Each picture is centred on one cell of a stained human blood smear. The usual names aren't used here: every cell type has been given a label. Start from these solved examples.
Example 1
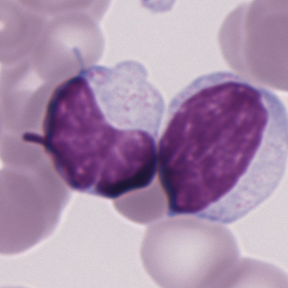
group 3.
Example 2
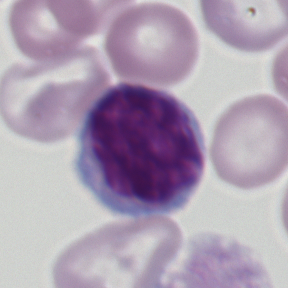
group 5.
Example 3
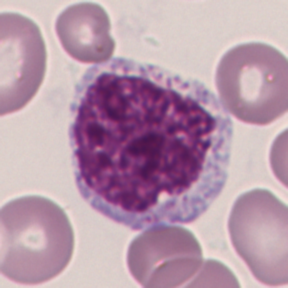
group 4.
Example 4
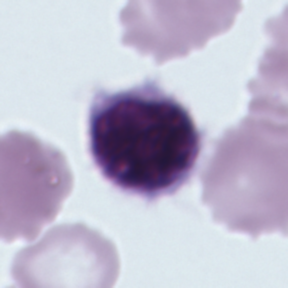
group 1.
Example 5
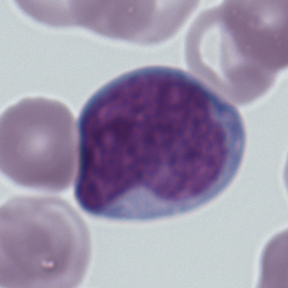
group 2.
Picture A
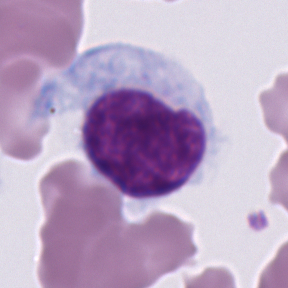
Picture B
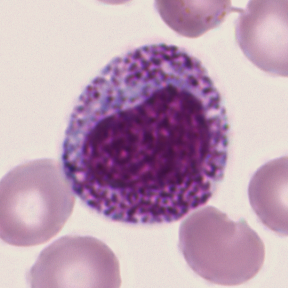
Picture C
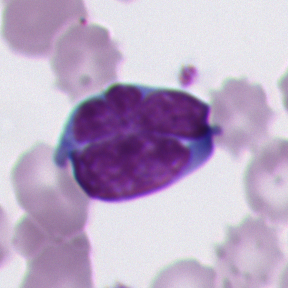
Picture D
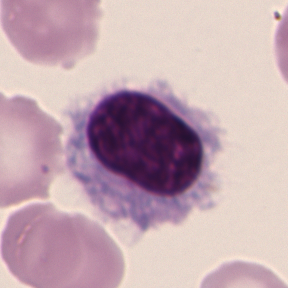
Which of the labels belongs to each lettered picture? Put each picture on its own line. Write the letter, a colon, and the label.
A: group 1.
B: group 4.
C: group 5.
D: group 1.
